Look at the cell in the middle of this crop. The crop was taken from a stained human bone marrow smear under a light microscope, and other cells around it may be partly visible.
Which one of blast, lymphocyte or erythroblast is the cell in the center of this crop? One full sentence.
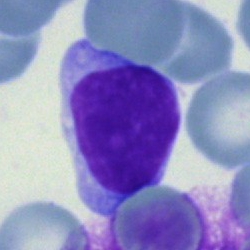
This crop's central cell is a lymphocyte.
